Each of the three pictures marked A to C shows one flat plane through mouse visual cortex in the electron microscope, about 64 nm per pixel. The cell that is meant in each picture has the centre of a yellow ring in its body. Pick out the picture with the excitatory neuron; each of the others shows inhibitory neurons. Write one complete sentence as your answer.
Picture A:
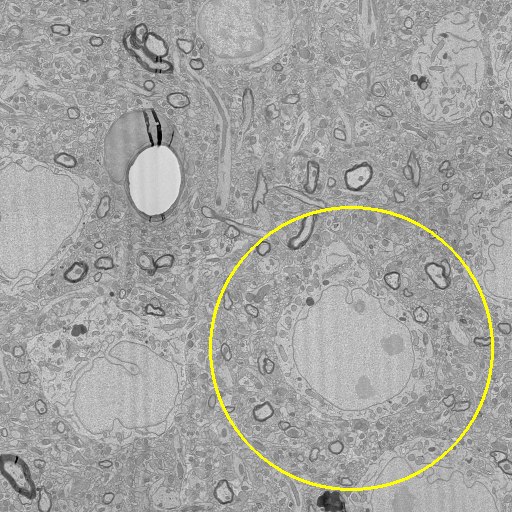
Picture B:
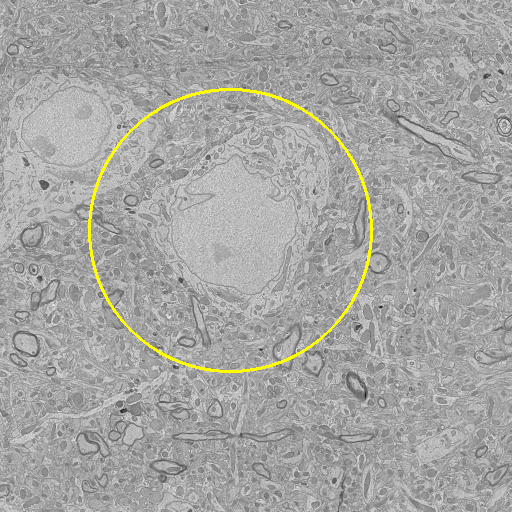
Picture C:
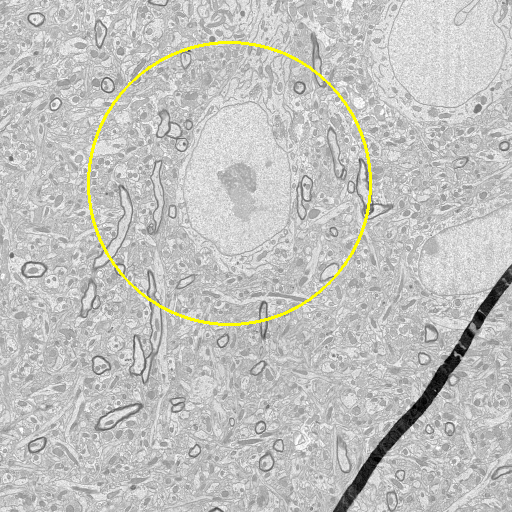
The cell in picture A is the excitatory neuron.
